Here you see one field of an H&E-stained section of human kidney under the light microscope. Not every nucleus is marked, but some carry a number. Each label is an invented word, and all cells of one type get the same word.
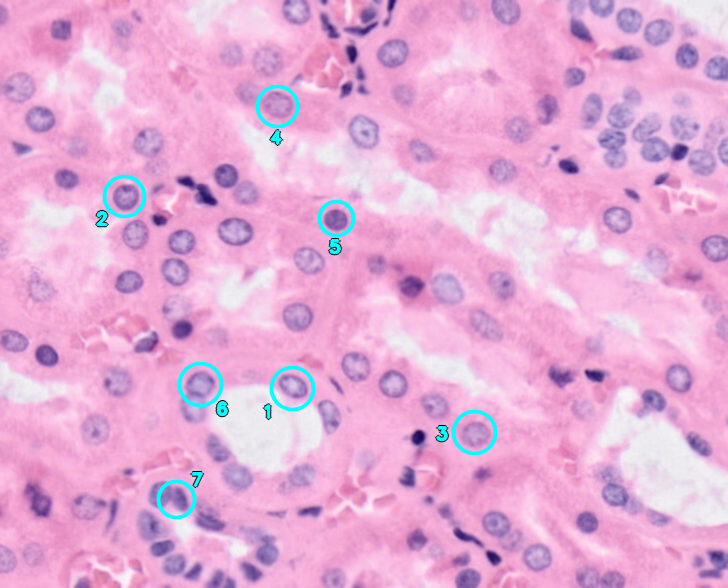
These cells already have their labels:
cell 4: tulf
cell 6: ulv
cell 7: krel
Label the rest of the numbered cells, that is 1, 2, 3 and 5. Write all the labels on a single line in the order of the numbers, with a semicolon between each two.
ulv; tulf; tulf; tulf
